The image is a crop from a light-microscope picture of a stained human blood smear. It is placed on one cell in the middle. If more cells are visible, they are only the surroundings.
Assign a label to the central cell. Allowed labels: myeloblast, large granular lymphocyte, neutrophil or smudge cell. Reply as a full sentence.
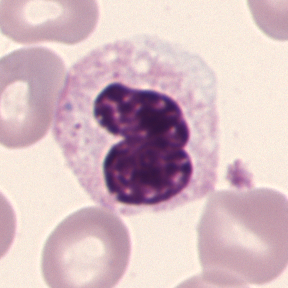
At the crop's centre, the cell is a neutrophil.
